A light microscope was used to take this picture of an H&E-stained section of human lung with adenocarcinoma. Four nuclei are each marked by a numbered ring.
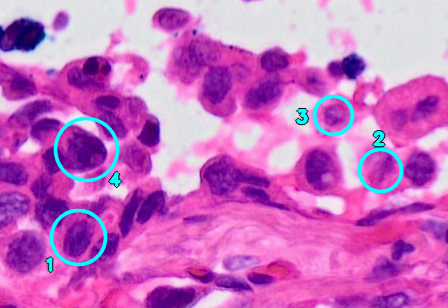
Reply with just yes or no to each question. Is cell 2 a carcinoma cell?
yes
